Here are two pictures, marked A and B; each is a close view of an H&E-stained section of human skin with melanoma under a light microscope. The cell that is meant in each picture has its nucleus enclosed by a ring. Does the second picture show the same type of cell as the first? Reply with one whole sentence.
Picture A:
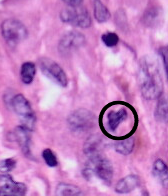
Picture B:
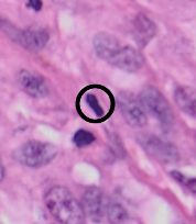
Yes, both are lymphocytes.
